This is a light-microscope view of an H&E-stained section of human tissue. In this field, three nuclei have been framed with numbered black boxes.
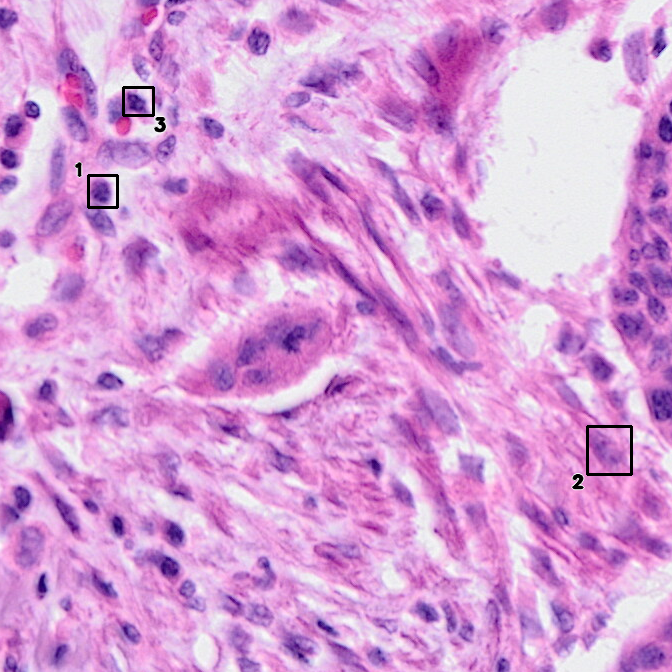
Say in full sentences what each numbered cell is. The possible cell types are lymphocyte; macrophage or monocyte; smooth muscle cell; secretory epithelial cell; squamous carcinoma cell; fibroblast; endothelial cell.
Cell 1 is a lymphocyte, cell 2 is a fibroblast and cell 3 is a lymphocyte.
